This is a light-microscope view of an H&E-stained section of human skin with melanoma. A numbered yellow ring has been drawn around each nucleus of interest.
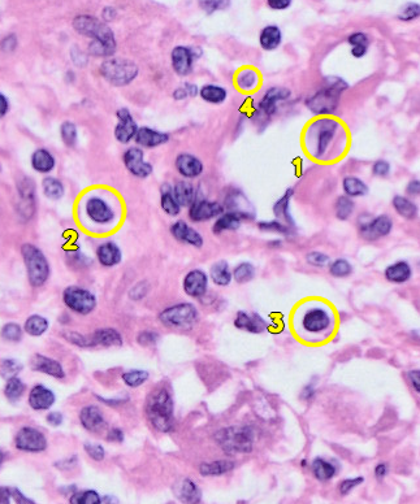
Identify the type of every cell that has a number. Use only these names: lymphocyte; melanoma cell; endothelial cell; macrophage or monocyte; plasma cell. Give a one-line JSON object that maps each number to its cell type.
{"1": "endothelial cell", "2": "lymphocyte", "3": "lymphocyte", "4": "macrophage or monocyte"}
